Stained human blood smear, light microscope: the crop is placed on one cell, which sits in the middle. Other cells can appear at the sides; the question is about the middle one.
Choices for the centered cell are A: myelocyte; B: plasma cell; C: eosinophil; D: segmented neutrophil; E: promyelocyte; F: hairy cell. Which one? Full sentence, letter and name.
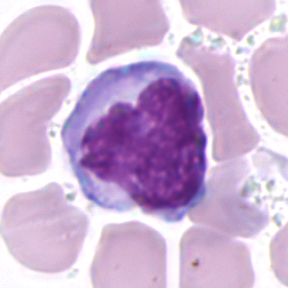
The middle of the crop contains a plasma cell, so option B is right.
